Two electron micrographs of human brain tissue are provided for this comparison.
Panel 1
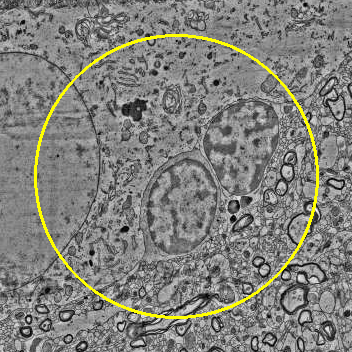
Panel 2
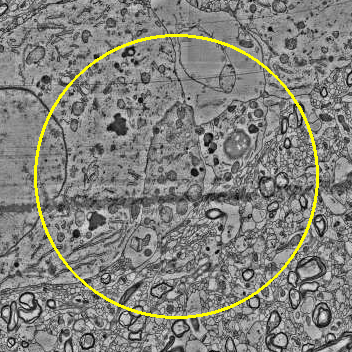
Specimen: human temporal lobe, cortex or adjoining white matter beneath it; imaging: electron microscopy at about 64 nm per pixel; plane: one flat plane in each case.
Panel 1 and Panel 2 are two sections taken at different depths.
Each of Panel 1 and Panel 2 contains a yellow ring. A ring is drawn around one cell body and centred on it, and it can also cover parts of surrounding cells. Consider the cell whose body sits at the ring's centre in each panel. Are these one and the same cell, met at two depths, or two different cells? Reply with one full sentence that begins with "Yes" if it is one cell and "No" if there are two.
Yes, the two yellow circles hold the same cell.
